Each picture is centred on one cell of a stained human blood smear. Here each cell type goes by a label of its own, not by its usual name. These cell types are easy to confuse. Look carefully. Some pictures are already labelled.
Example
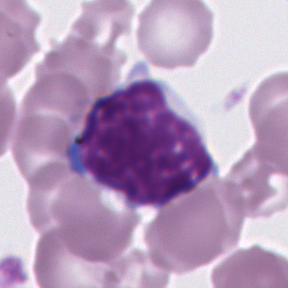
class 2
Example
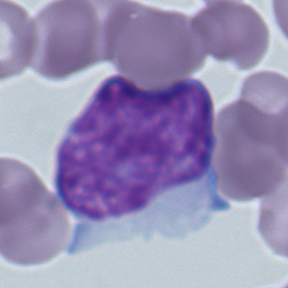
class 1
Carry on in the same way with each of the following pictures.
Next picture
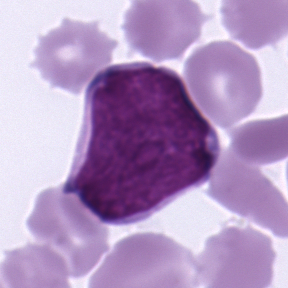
class 1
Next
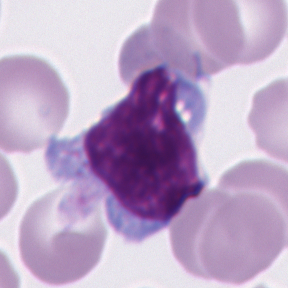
class 2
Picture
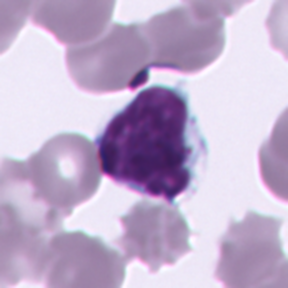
class 2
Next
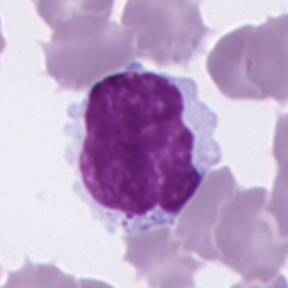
class 2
